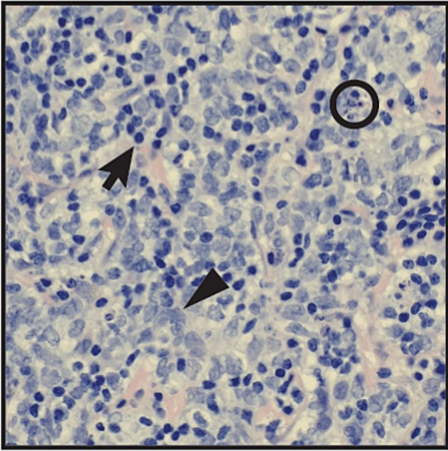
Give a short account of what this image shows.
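A dense infiltrate of medium-to-large pleomorphic lymphoid cells with pale, irregular, open nuclei fills the field, with little cytoplasm. Scattered among them are many small cells with round, dark, condensed nuclei, and a few tiny dark fragmented nuclear bodies of apoptotic cells. Thin strands of pink stroma run between the cell sheets.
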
